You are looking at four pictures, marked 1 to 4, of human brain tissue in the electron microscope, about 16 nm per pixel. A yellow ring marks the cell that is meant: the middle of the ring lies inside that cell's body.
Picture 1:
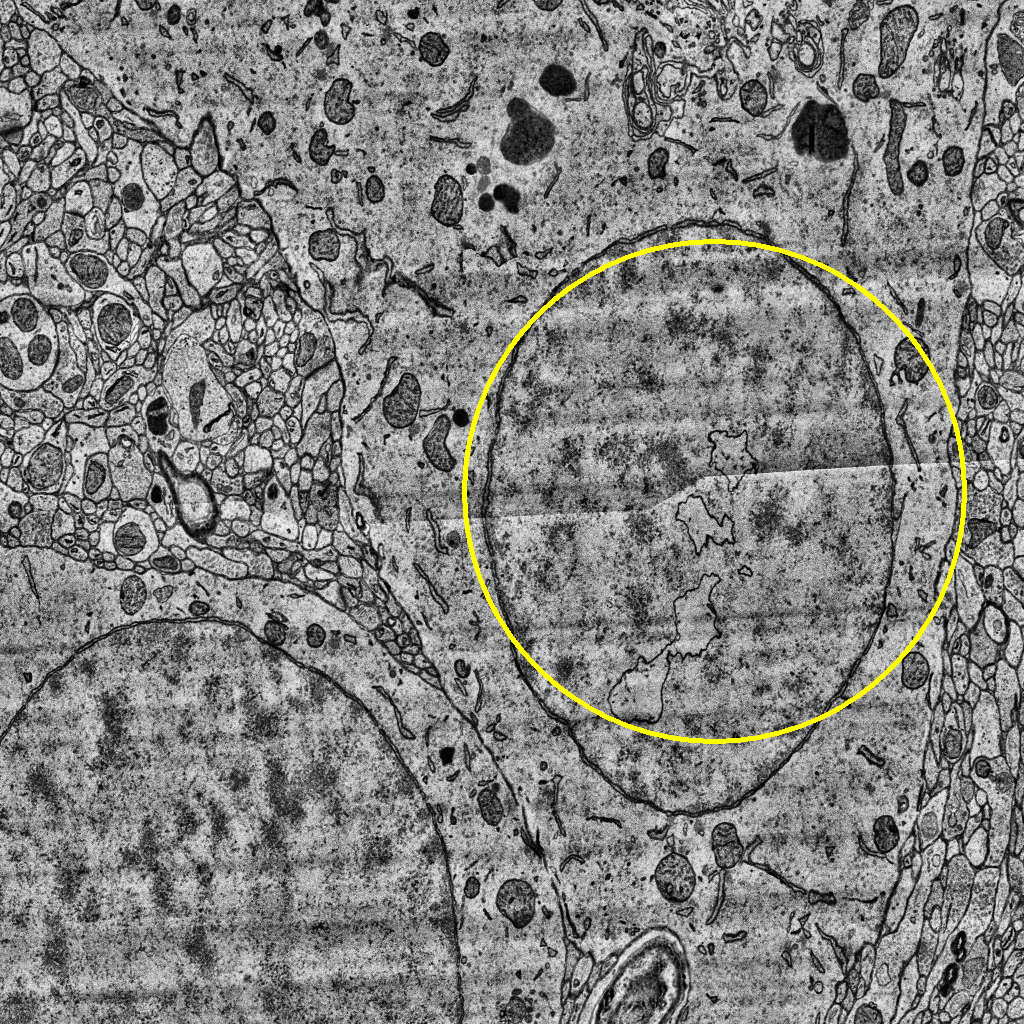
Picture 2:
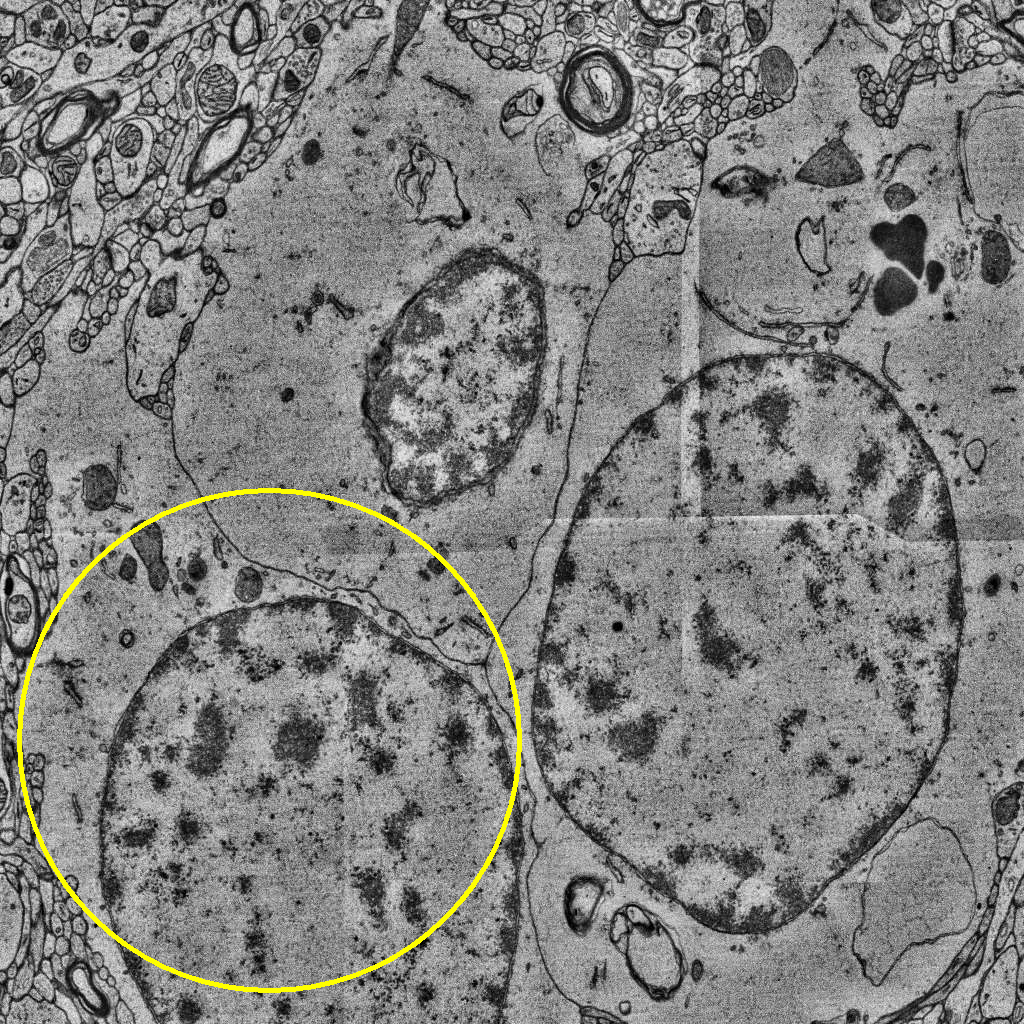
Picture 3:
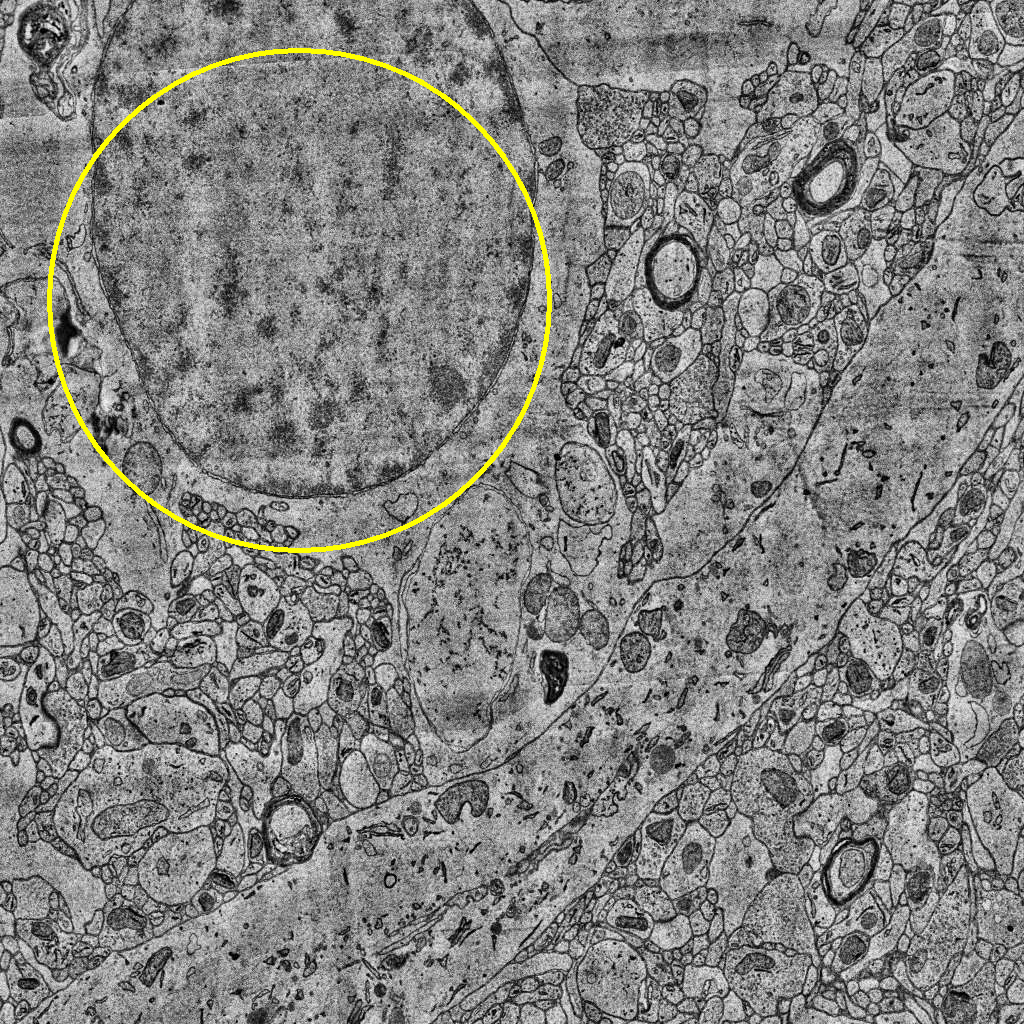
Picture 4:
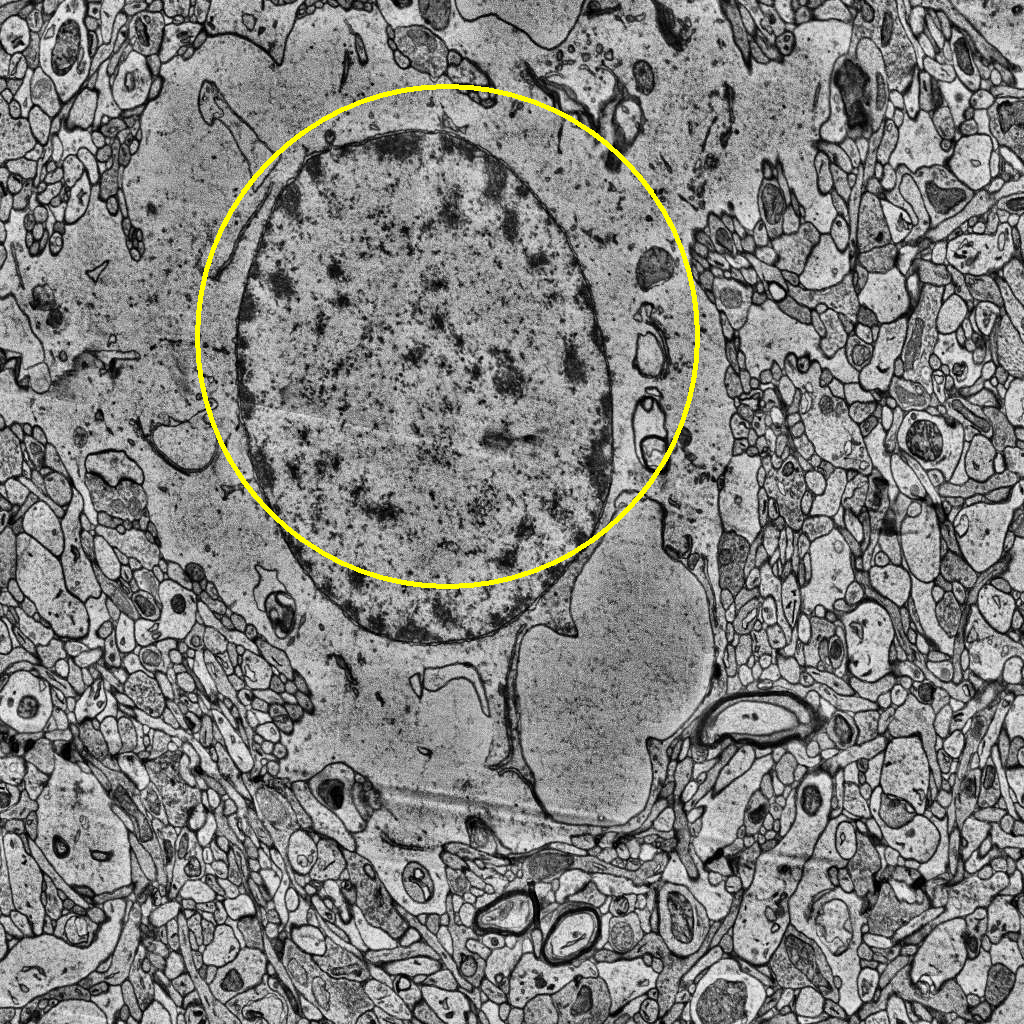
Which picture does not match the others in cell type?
Picture 1 differs, because its cell is a pyramidal neuron and the rest are astrocytes.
